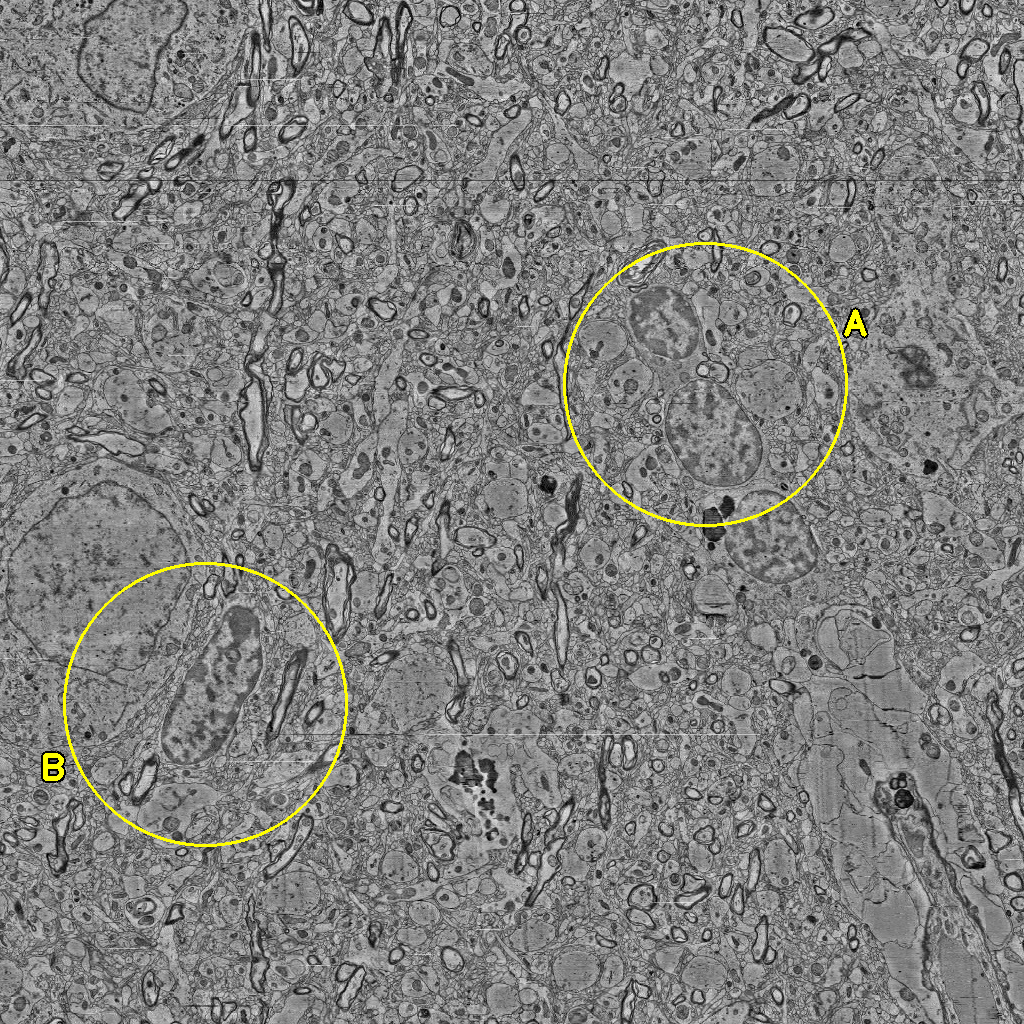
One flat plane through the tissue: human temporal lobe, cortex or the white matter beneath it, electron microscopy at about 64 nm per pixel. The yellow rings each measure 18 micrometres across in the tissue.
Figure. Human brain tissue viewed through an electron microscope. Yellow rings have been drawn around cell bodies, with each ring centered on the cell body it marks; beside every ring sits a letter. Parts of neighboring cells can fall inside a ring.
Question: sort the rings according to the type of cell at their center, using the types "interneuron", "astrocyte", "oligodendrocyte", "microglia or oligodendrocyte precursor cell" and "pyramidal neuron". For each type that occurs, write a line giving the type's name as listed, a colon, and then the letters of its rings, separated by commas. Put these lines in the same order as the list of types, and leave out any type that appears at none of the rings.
oligodendrocyte: A
microglia or oligodendrocyte precursor cell: B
